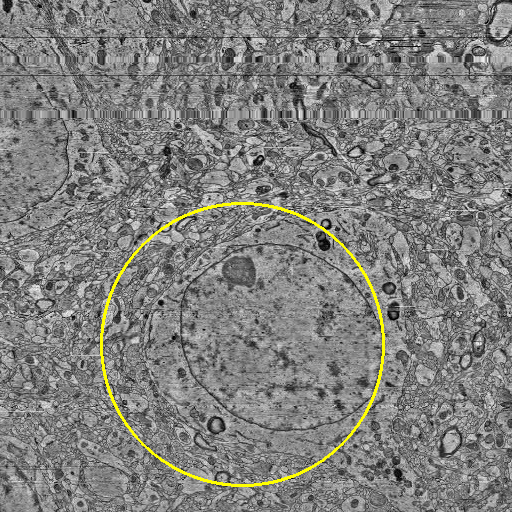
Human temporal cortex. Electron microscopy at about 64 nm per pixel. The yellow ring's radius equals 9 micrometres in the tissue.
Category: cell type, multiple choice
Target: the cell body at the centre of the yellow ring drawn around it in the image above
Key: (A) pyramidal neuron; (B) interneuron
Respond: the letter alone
A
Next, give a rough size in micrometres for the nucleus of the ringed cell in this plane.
The nucleus of the ringed cell is approximately 14 by 12 micrometres in this plane.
